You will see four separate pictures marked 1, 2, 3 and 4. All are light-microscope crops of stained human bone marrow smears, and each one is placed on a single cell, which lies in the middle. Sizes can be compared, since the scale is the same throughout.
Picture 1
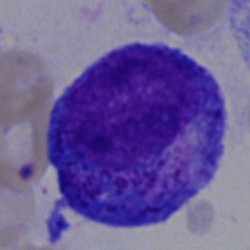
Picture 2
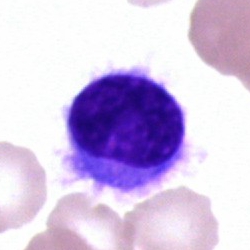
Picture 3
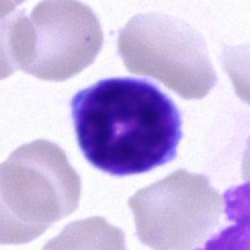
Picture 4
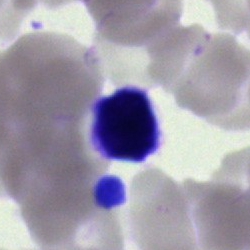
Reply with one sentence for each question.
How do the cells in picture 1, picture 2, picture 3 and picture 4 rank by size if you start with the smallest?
Smallest first: 4, 3, 2, 1.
